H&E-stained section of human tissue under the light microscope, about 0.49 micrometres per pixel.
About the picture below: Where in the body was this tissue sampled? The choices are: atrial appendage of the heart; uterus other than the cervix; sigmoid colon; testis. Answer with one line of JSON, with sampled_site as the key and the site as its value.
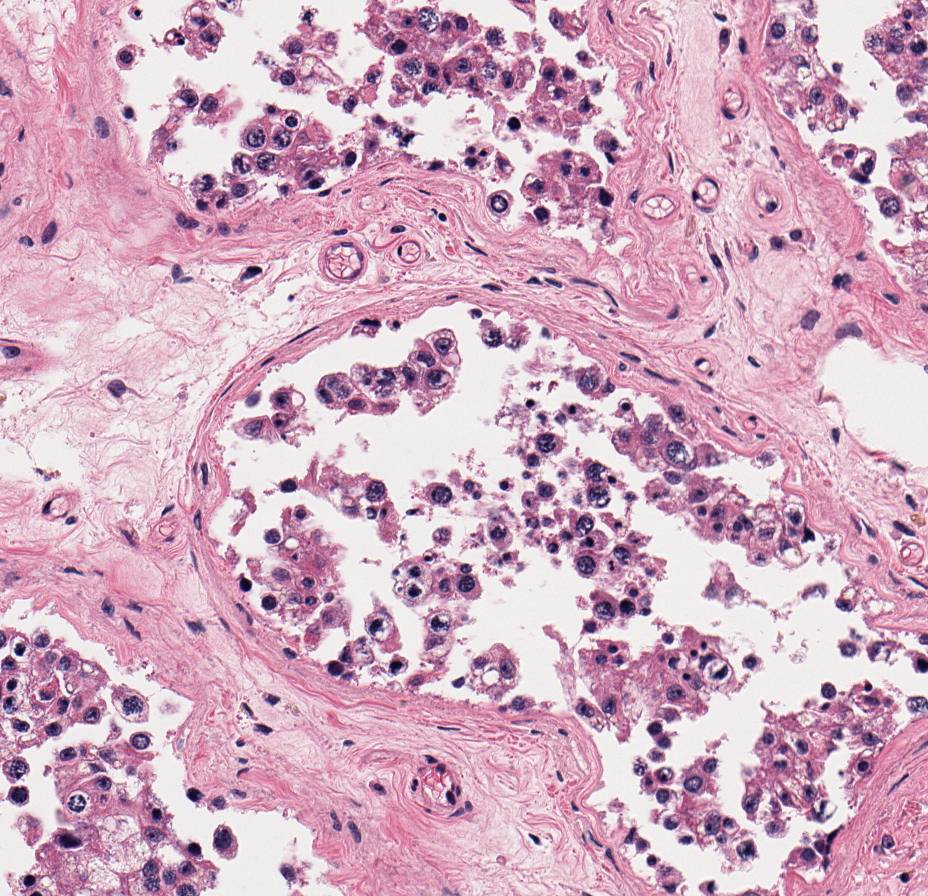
{"sampled_site": "testis"}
